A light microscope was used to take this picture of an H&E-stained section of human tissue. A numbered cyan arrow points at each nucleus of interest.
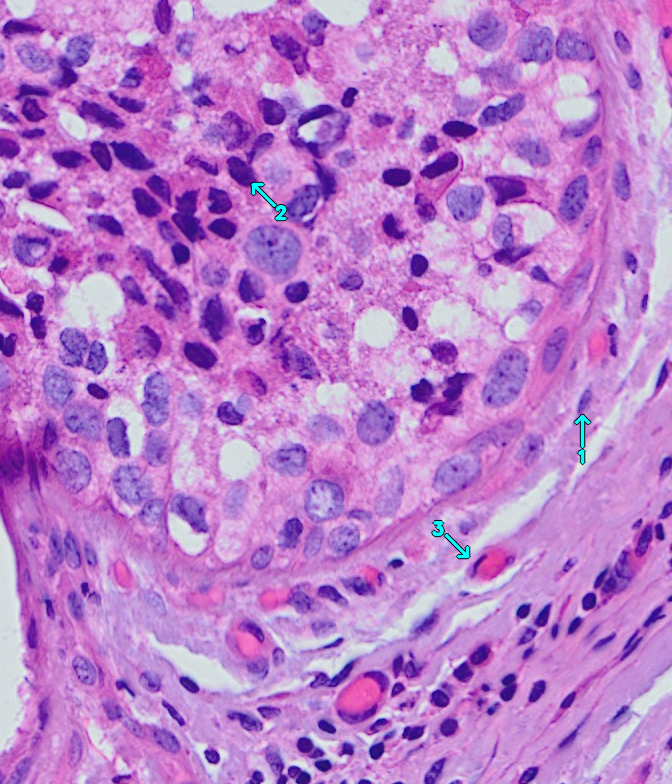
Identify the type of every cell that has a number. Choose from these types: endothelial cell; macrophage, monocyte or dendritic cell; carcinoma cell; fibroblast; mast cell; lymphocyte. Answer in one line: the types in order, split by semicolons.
fibroblast; carcinoma cell; endothelial cell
